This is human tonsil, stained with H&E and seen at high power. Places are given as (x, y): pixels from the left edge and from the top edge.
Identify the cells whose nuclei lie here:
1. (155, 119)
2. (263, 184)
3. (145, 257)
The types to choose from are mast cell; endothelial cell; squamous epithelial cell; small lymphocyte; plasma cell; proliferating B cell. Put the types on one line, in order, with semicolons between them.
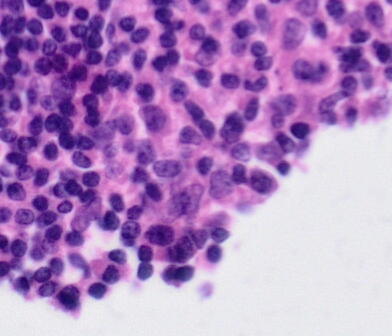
proliferating B cell; proliferating B cell; small lymphocyte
